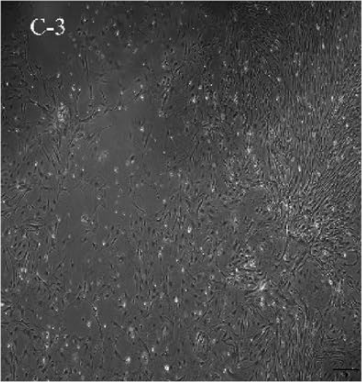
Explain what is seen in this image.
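The cells are mostly elongated and spindle-shaped, with thin processes at either end, and lie flat on the dish. In places, many of them line up side by side in parallel streams. Small, rounded cells appear bright against the grey background and are scattered across the field. How closely the cells are packed varies across the field: some areas are crowded with overlapping cells, while others show more open space between them. There are no large heaped clusters of rounded cells.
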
